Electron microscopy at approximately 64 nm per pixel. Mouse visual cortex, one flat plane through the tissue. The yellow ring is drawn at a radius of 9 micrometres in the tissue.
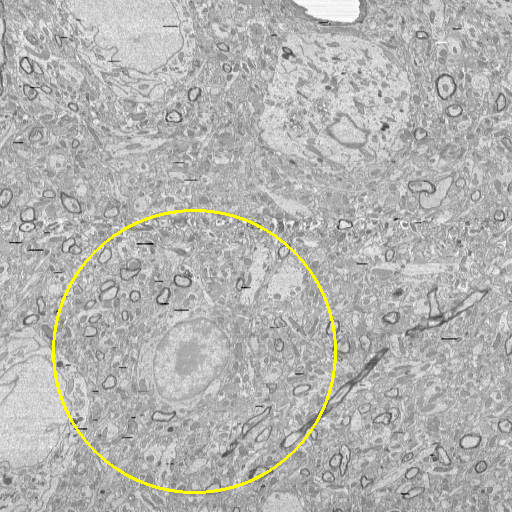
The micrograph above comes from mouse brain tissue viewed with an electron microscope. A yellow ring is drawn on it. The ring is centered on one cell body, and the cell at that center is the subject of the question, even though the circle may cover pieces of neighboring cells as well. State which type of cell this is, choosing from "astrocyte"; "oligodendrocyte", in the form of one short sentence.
The cell the ring is centered on is an oligodendrocyte.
